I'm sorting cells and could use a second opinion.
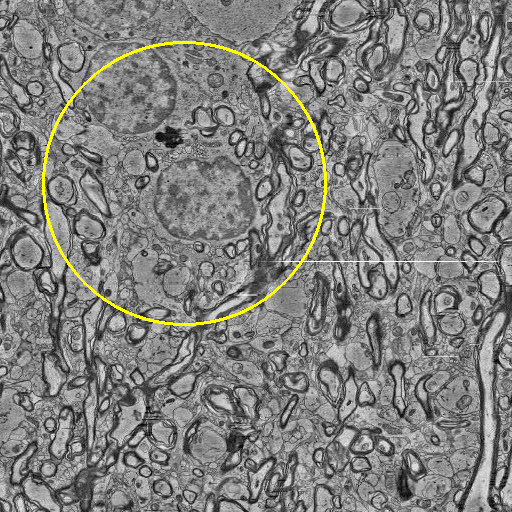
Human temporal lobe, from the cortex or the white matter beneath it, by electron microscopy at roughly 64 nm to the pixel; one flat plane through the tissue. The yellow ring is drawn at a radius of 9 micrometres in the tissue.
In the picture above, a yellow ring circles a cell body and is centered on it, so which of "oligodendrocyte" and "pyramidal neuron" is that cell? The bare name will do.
oligodendrocyte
